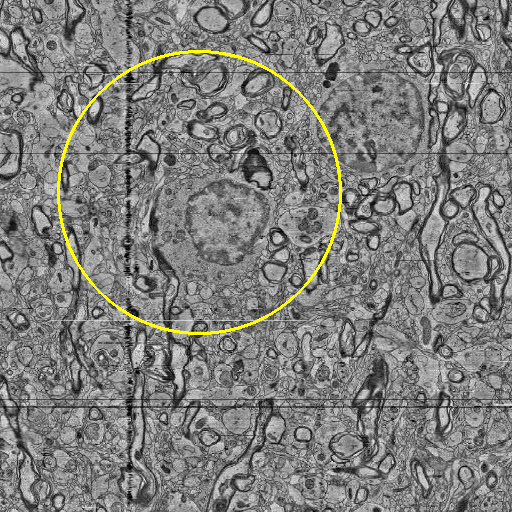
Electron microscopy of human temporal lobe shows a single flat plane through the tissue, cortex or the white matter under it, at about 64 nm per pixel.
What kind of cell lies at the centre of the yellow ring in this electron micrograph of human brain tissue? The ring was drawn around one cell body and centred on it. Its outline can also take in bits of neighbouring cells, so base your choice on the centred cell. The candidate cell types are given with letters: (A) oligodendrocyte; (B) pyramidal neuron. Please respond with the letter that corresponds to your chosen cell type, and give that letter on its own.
A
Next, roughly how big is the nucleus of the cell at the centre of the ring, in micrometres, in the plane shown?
Approximately 5 micrometers across in this plane.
